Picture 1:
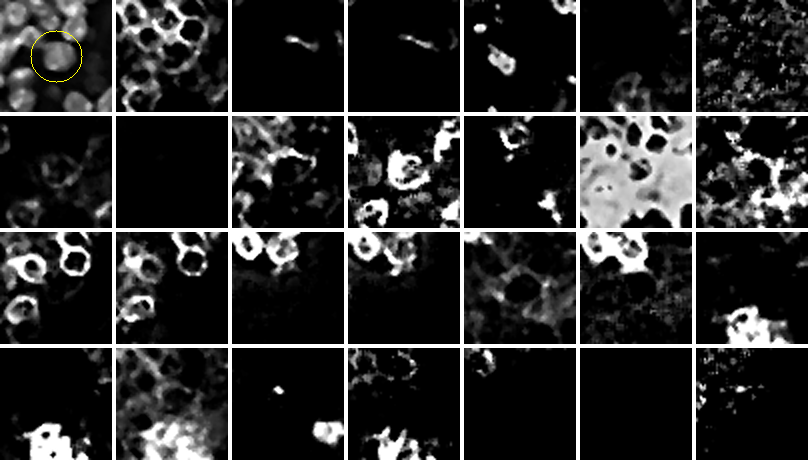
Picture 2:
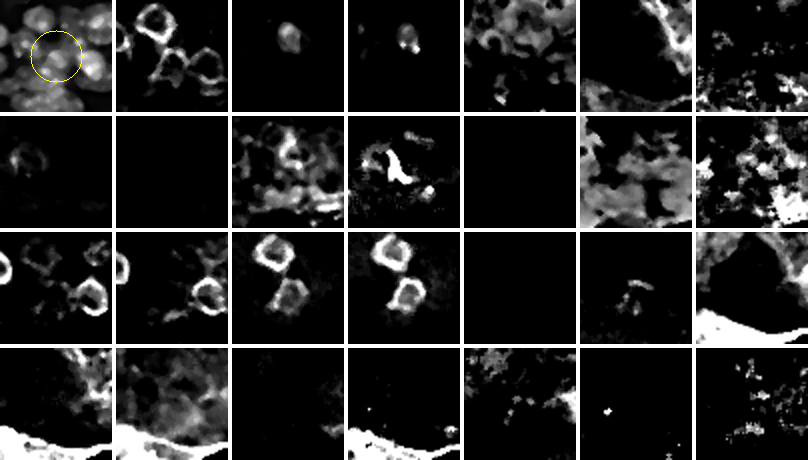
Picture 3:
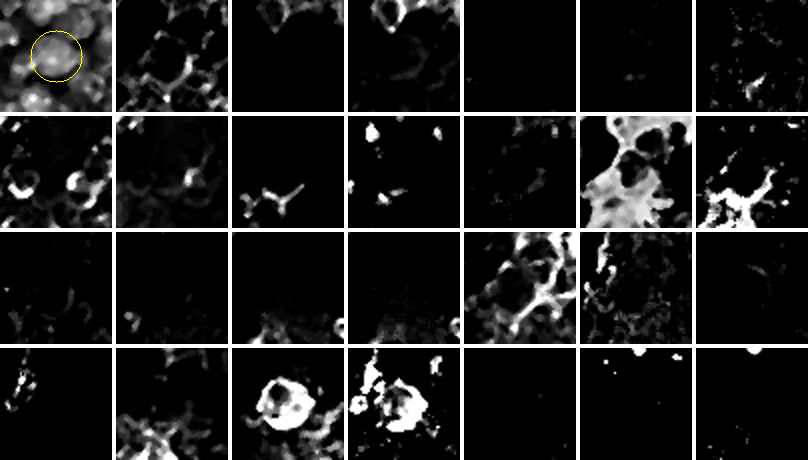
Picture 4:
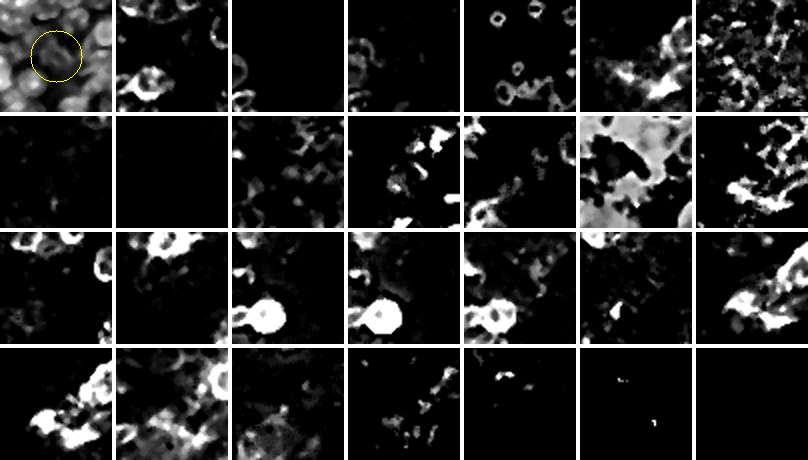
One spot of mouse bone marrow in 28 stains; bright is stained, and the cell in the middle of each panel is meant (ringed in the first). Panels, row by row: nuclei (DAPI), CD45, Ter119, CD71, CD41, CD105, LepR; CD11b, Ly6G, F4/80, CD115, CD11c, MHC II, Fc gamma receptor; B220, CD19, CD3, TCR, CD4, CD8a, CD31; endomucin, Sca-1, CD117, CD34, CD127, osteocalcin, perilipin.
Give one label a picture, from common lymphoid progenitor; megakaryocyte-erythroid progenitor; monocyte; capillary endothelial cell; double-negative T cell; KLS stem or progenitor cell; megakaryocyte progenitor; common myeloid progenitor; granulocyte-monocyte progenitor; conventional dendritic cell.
(1) monocyte
(2) double-negative T cell
(3) granulocyte-monocyte progenitor
(4) capillary endothelial cell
